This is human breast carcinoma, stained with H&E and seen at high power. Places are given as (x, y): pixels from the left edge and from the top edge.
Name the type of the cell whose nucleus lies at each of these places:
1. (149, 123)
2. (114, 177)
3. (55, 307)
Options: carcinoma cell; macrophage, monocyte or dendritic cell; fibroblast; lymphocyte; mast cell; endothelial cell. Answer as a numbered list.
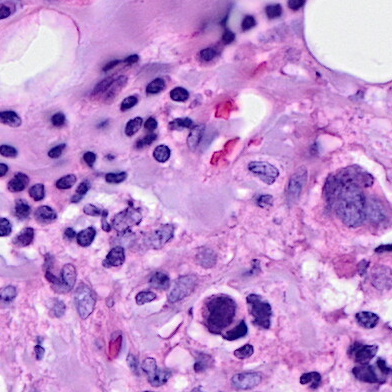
1. lymphocyte
2. lymphocyte
3. macrophage, monocyte or dendritic cell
